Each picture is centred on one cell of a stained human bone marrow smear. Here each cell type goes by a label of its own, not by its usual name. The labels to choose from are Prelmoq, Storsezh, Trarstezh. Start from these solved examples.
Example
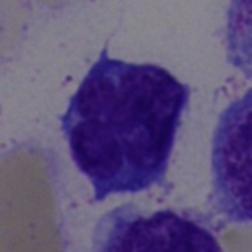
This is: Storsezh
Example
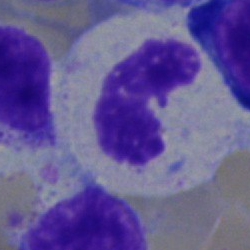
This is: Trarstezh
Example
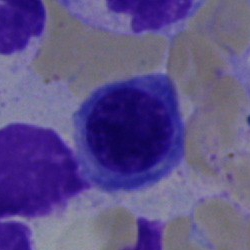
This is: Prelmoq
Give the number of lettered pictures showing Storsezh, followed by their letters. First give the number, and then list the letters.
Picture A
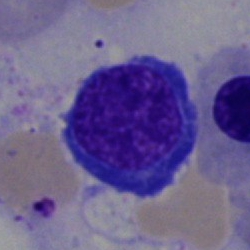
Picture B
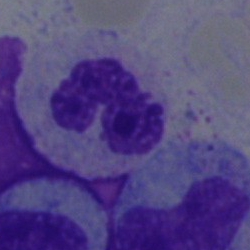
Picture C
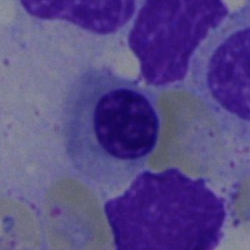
0, none of them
